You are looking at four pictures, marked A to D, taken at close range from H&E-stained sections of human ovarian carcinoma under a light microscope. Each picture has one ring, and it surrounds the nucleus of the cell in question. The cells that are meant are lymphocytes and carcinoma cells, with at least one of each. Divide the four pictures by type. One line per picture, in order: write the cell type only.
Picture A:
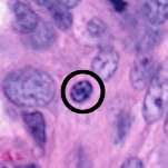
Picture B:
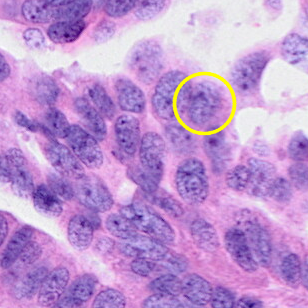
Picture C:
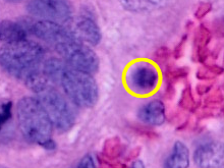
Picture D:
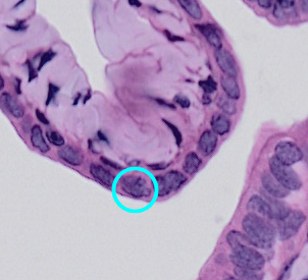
lymphocyte
carcinoma cell
lymphocyte
carcinoma cell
